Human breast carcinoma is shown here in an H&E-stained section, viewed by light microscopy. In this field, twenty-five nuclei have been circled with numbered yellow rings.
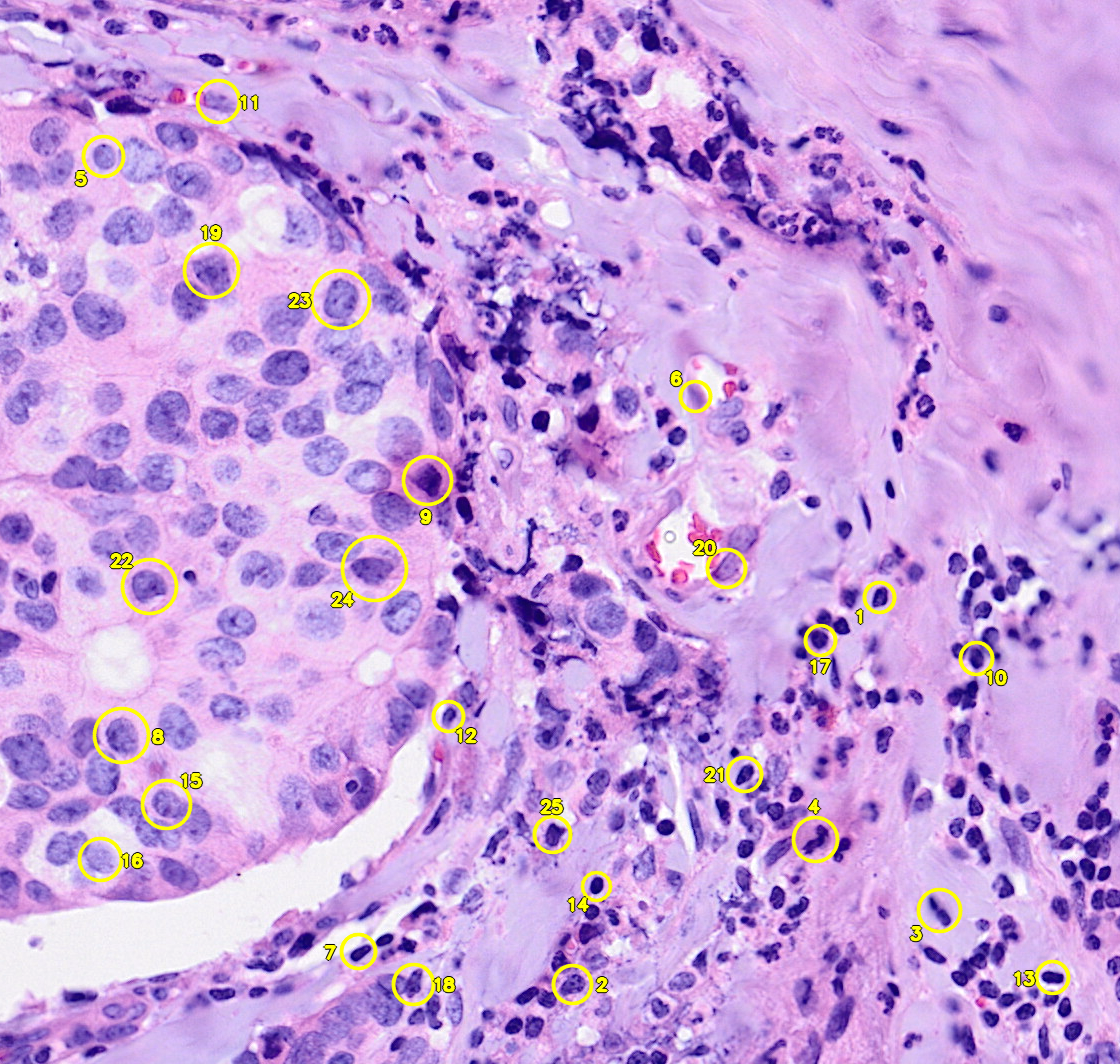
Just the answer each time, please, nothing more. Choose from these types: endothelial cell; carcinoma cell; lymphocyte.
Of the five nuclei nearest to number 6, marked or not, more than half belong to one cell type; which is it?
endothelial cell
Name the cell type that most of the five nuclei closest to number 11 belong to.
carcinoma cell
